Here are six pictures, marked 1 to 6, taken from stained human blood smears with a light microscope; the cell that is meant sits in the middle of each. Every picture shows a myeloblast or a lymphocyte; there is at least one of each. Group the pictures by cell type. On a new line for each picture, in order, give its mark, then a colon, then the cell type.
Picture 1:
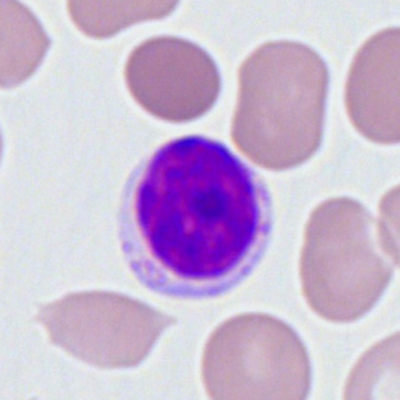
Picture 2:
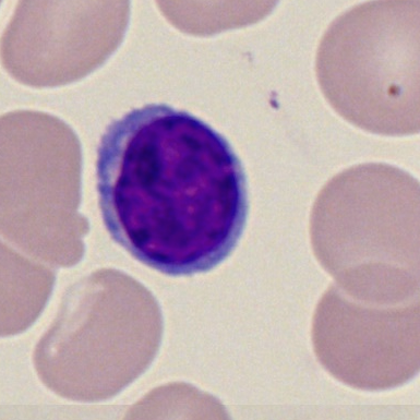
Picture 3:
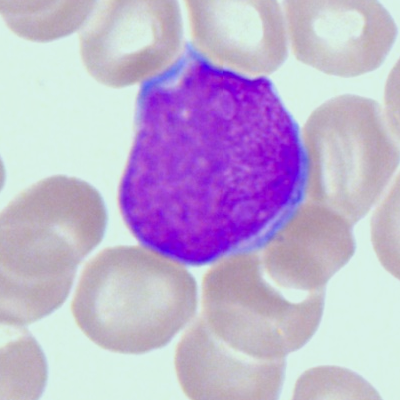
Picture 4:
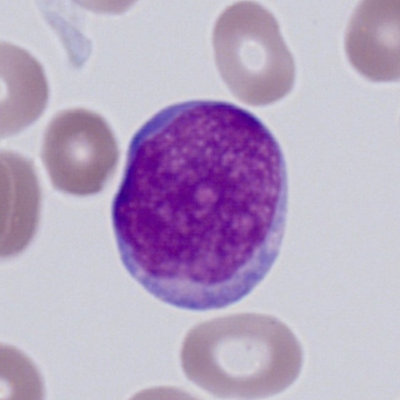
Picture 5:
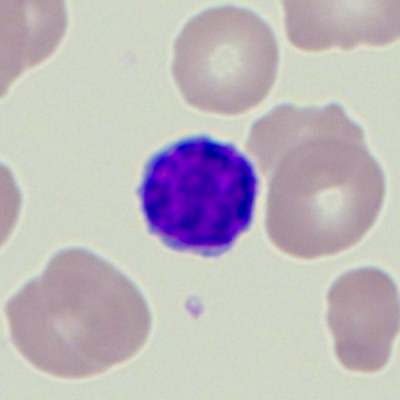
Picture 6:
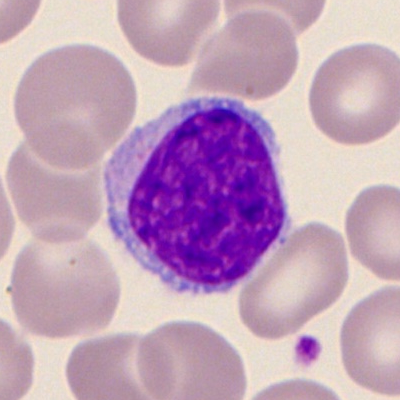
1: lymphocyte
2: lymphocyte
3: myeloblast
4: myeloblast
5: lymphocyte
6: lymphocyte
